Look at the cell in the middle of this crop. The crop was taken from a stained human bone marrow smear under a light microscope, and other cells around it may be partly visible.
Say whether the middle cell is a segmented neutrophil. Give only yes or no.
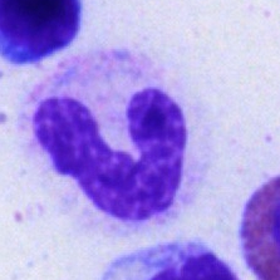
no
